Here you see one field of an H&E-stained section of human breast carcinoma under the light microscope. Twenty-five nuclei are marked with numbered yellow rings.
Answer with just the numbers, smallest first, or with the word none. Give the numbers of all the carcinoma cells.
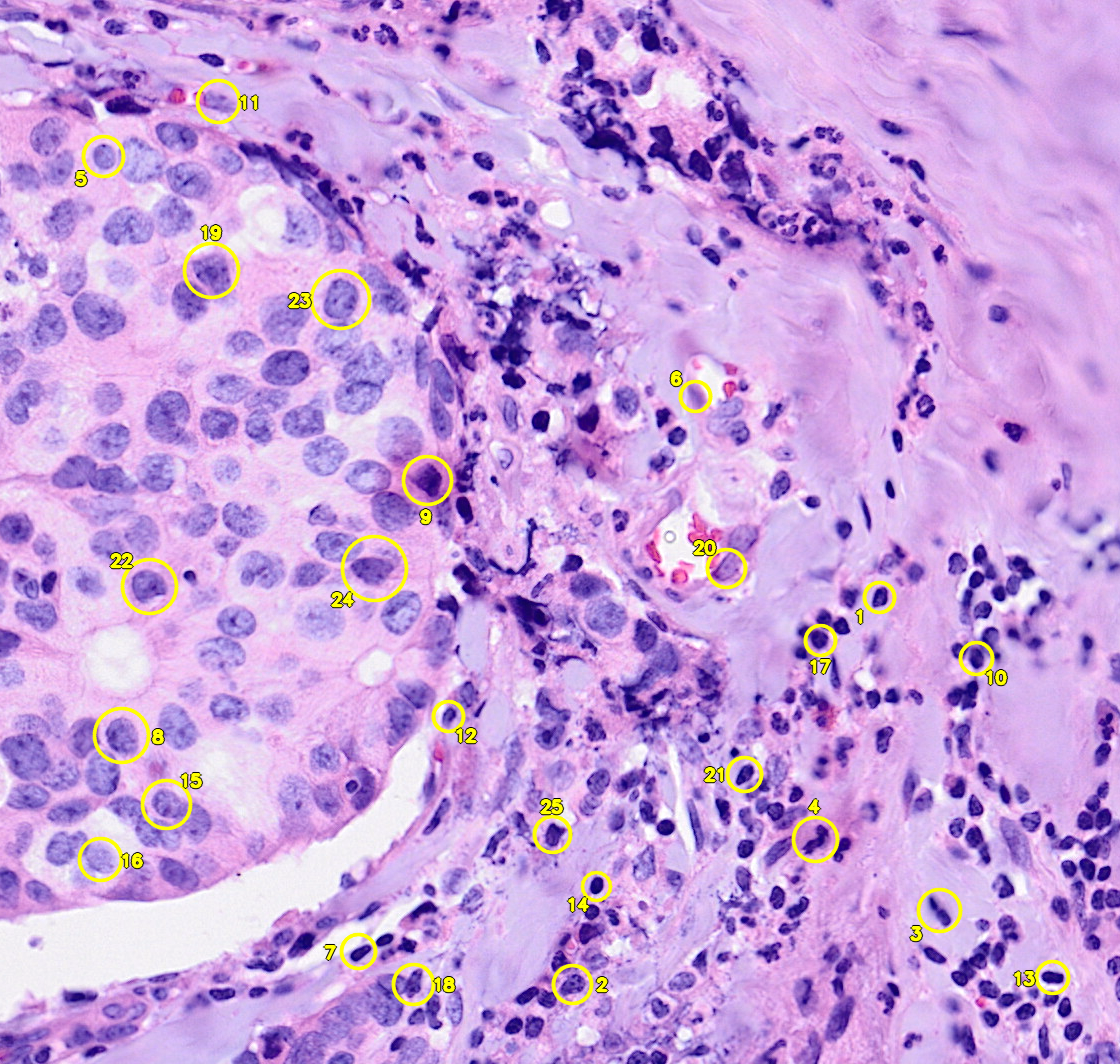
5, 8, 9, 15, 16, 19, 22, 23, 24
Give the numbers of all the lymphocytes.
1, 2, 3, 4, 7, 10, 12, 13, 14, 17, 18, 21, 25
